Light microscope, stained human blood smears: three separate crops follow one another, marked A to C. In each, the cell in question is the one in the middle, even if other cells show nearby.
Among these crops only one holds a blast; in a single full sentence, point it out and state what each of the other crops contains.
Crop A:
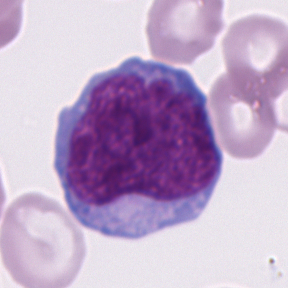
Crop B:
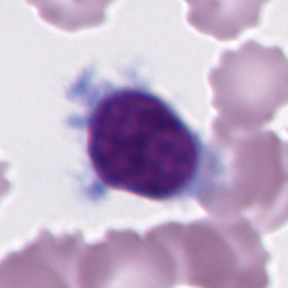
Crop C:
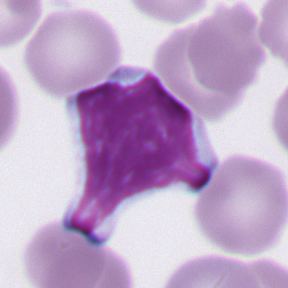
The middle of crop A holds a blast, while crop B is a hairy cell and crop C is a typical lymphocyte.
